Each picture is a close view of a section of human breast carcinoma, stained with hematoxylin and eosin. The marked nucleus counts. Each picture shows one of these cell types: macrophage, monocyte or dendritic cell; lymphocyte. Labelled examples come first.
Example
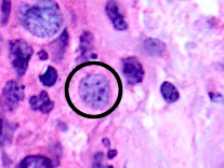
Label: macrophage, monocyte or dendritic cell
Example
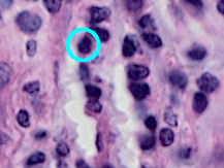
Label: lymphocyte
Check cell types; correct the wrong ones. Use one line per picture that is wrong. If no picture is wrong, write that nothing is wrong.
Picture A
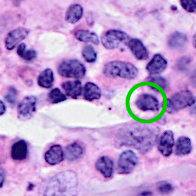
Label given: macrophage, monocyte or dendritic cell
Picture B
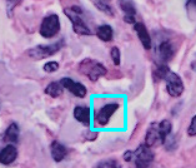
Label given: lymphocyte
A should be lymphocyte, not macrophage, monocyte or dendritic cell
